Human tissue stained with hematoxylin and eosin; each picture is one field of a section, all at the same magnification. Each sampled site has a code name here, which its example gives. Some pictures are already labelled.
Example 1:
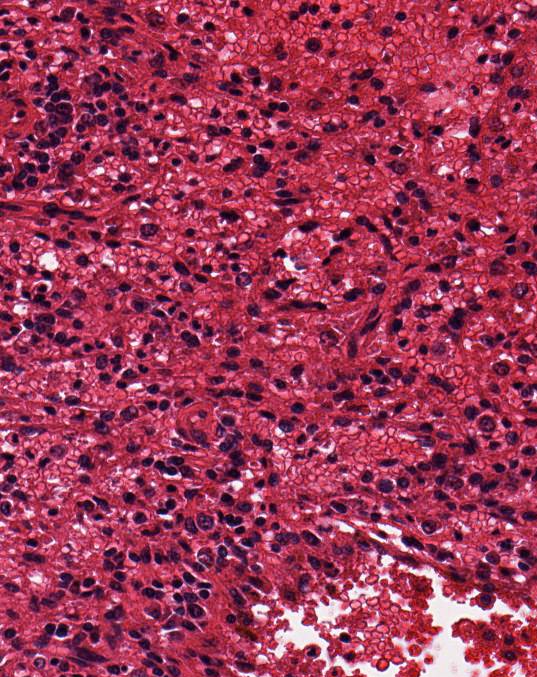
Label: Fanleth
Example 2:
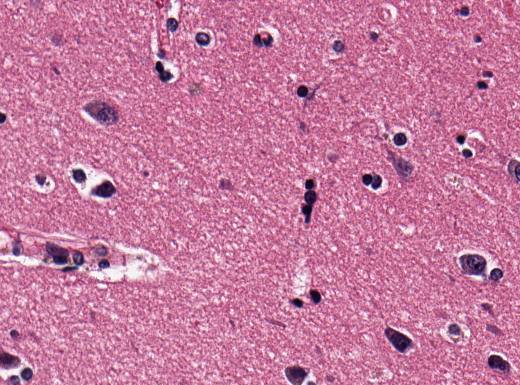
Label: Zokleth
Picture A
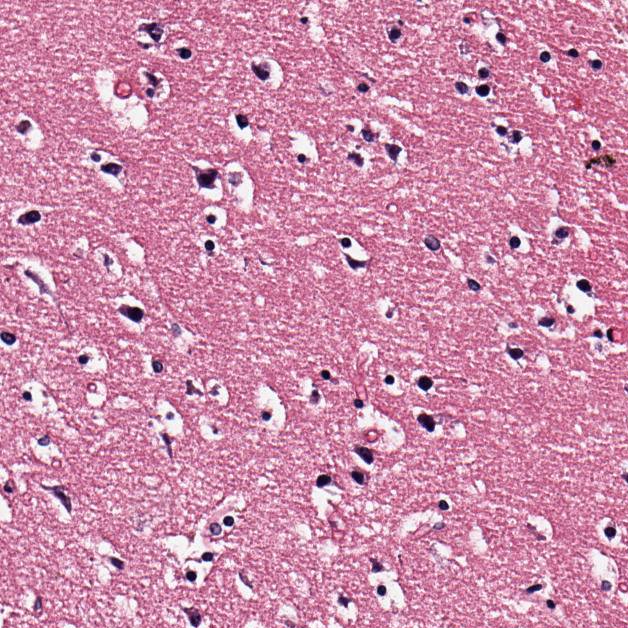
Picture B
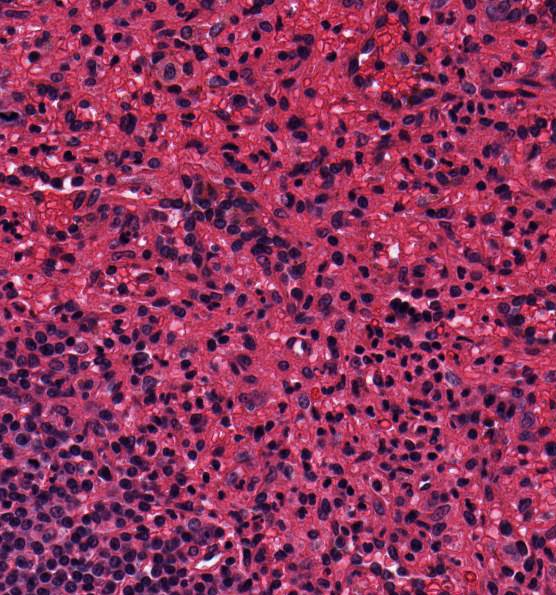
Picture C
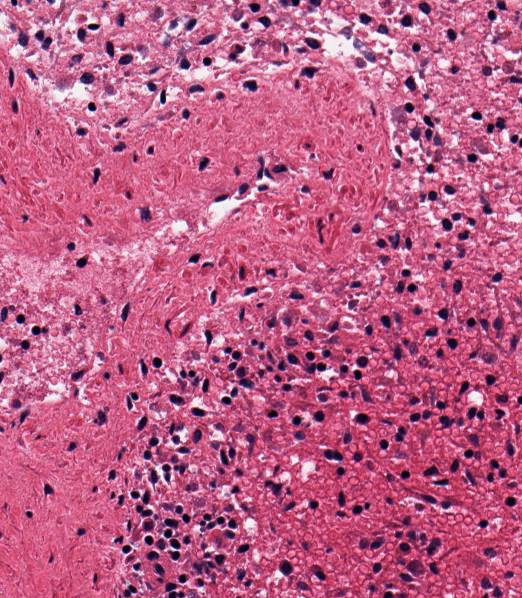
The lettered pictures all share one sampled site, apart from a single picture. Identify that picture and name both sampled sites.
Picture A: Zokleth. All others: Fanleth.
